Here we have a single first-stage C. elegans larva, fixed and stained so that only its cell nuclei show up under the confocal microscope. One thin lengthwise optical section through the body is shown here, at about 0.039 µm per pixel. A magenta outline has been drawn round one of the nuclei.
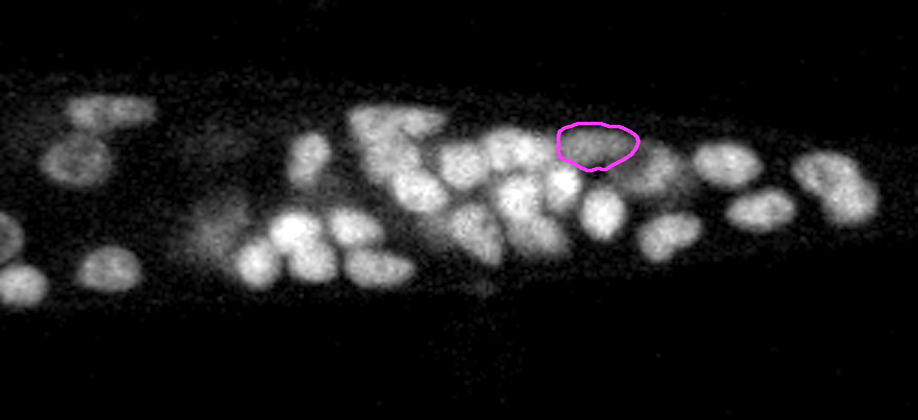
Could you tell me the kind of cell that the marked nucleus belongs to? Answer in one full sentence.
It belongs to a body wall muscle cell.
